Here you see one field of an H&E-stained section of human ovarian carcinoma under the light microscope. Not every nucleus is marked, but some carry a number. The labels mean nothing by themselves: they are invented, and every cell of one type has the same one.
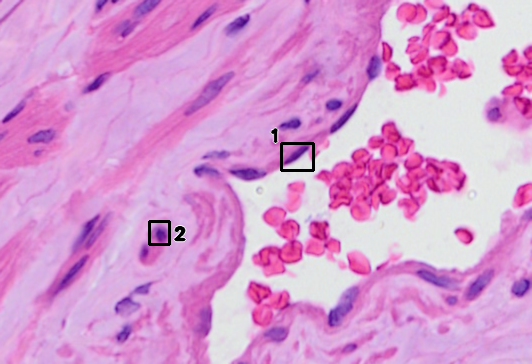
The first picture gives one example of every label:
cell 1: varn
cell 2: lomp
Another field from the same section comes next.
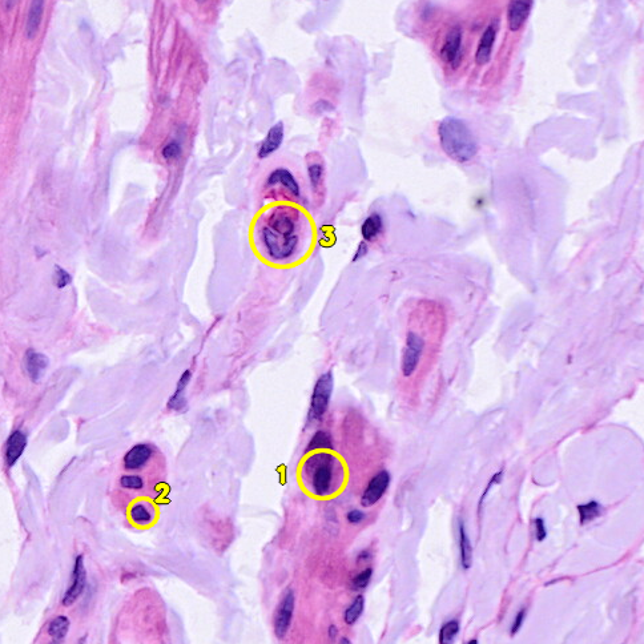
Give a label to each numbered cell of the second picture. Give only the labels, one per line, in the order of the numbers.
lomp
lomp
varn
